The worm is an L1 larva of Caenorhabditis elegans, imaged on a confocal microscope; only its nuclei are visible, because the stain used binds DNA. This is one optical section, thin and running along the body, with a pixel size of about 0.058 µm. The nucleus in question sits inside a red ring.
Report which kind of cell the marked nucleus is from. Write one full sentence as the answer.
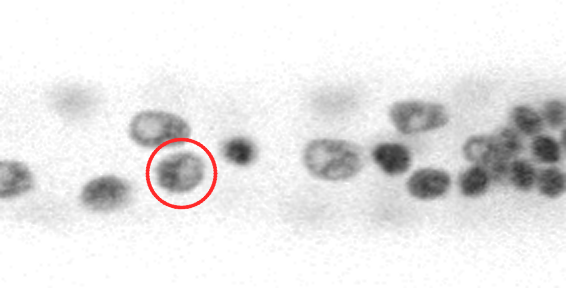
This nucleus is from a seam cell.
